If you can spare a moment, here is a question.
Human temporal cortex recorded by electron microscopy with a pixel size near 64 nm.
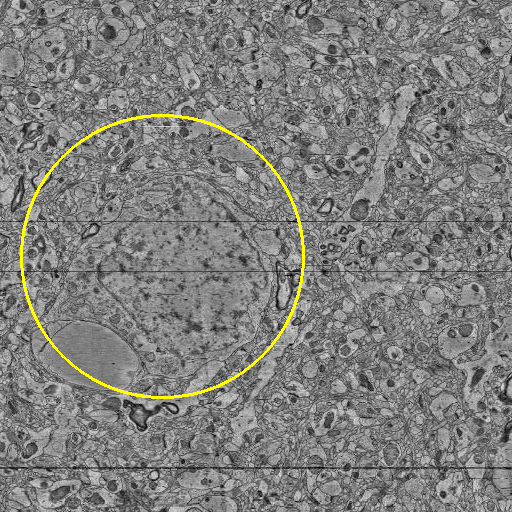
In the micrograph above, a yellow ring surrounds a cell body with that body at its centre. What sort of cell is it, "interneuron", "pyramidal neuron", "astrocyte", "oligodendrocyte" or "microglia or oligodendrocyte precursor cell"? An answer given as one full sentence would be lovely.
Centred inside the yellow ring, the cell body shown belongs to an interneuron in this micrograph.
